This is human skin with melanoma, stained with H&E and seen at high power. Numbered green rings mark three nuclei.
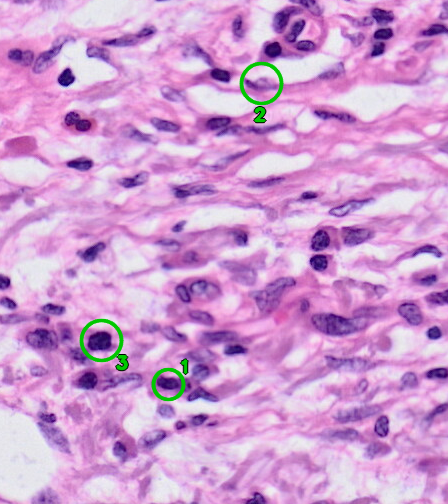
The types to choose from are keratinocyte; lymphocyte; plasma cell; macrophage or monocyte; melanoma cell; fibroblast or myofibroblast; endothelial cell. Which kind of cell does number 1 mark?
plasma cell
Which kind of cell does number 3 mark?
plasma cell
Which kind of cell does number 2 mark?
fibroblast or myofibroblast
